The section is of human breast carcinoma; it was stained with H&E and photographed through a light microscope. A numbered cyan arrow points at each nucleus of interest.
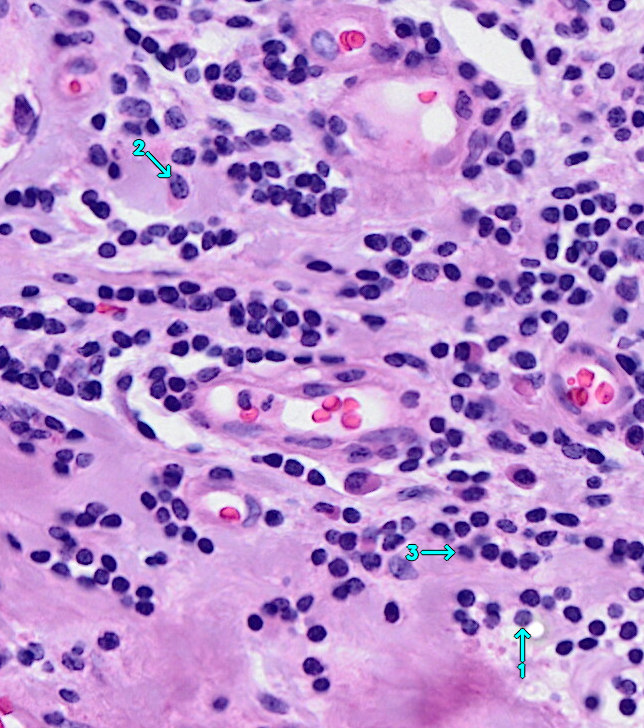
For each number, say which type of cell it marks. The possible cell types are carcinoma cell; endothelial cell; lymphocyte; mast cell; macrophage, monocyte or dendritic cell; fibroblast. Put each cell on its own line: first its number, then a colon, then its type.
1: lymphocyte
2: mast cell
3: lymphocyte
